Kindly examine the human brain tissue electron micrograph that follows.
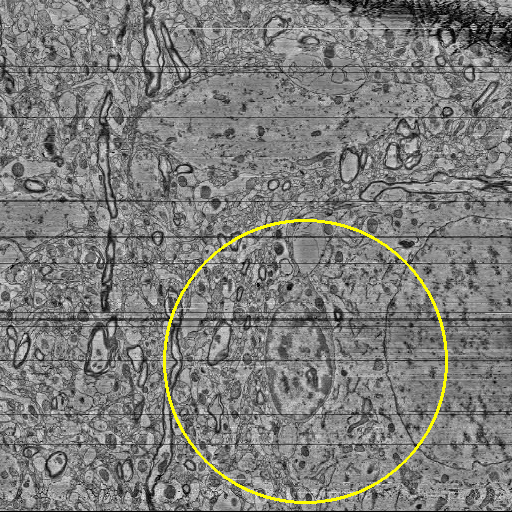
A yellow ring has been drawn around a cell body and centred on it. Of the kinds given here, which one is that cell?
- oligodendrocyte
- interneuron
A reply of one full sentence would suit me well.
The micrograph's ringed cell, the one at the ring's centre, is an oligodendrocyte.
